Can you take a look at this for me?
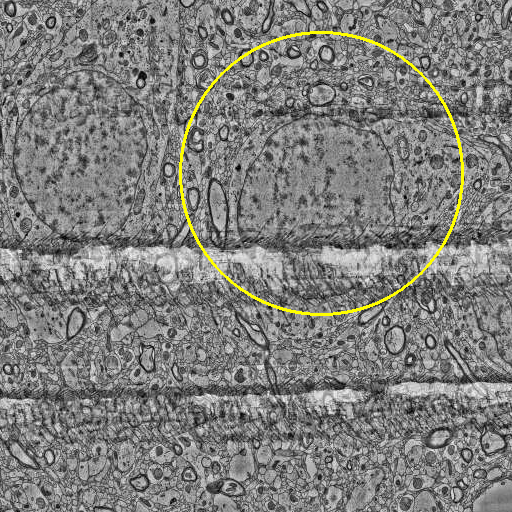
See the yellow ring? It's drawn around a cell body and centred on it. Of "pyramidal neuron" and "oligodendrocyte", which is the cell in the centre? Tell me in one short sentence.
The one in the centre is a pyramidal neuron.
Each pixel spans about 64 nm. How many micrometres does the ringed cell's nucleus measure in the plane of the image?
In this plane, approximately 12 by 10 micrometers.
